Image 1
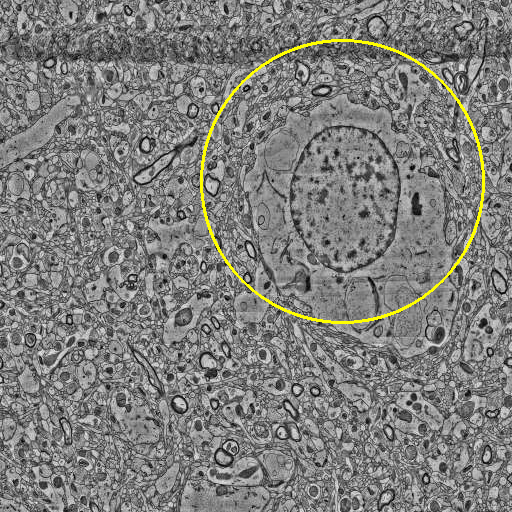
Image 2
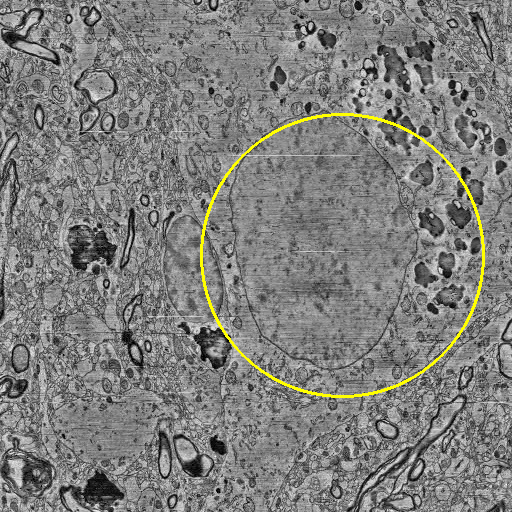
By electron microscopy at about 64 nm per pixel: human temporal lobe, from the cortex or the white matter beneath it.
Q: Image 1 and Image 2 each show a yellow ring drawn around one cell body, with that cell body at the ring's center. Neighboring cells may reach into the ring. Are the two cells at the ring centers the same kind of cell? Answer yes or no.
no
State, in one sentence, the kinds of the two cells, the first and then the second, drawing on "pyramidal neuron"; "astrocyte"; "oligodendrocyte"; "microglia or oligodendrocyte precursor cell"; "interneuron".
The ring in the second picture is centred on a pyramidal neuron, the ring in the first on an astrocyte.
